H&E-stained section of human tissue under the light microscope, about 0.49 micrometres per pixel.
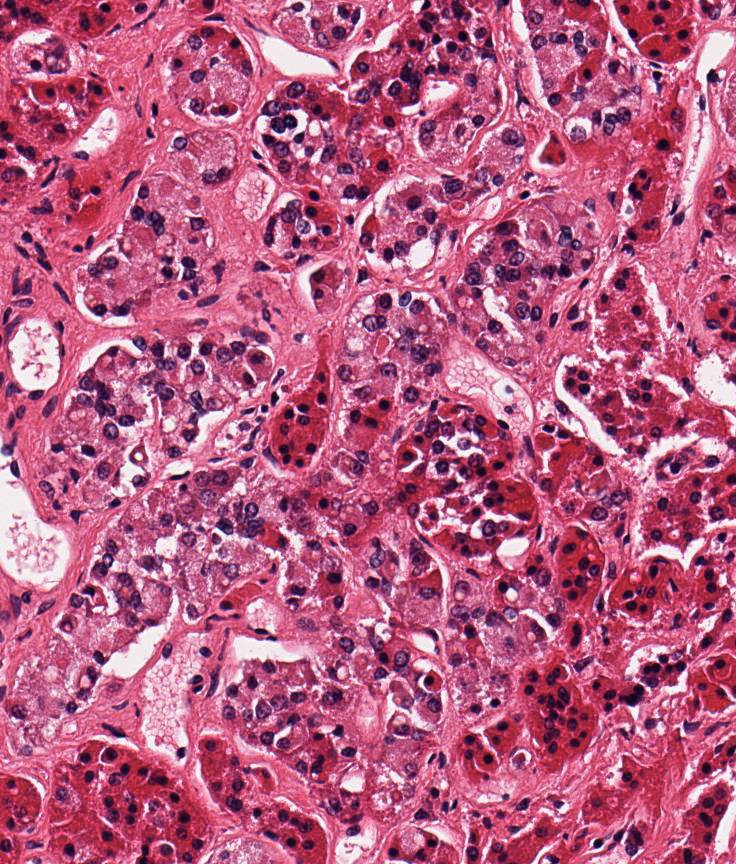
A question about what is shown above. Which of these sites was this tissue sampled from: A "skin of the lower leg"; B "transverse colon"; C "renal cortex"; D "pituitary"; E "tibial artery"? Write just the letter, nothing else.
D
